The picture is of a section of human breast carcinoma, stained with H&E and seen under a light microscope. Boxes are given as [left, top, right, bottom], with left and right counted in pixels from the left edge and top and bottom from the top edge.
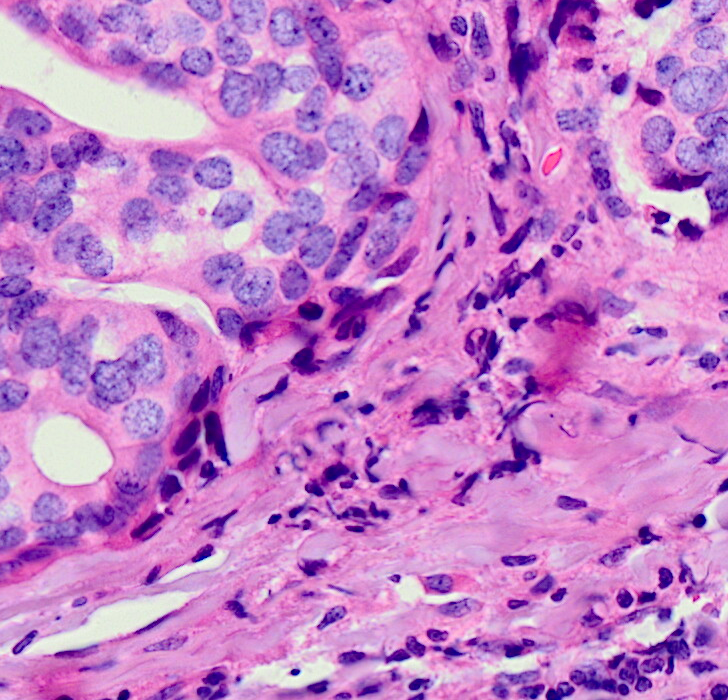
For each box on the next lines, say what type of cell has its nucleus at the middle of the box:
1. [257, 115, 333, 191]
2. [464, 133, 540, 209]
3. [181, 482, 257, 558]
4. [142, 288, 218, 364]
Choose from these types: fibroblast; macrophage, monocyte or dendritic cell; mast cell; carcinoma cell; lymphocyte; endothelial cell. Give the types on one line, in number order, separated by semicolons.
carcinoma cell; lymphocyte; fibroblast; carcinoma cell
